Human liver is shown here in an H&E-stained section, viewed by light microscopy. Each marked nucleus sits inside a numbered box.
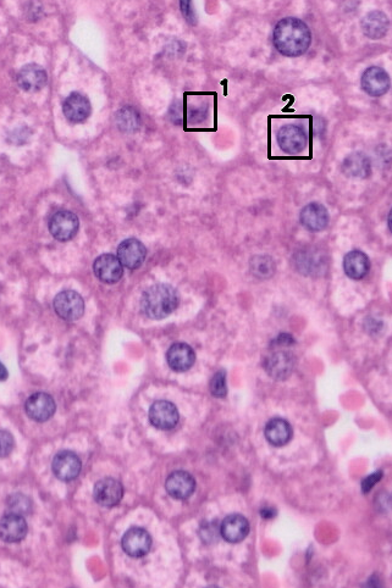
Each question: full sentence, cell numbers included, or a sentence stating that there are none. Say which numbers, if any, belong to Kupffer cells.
Mind that only cell 1 is a Kupffer cell, none of the rest.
